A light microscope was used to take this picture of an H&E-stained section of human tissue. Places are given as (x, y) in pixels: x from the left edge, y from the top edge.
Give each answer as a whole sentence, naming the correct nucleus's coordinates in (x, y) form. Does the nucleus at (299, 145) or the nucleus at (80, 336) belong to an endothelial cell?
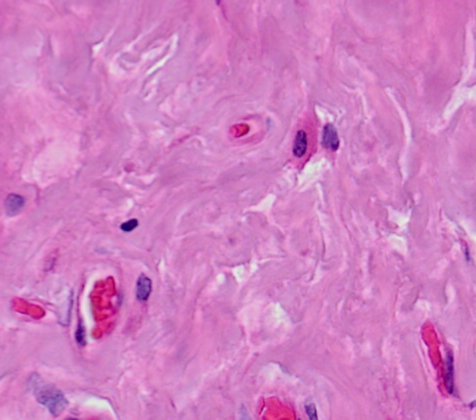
The nucleus at (80, 336) belongs to an endothelial cell, which distinguishes it from the other nucleus.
